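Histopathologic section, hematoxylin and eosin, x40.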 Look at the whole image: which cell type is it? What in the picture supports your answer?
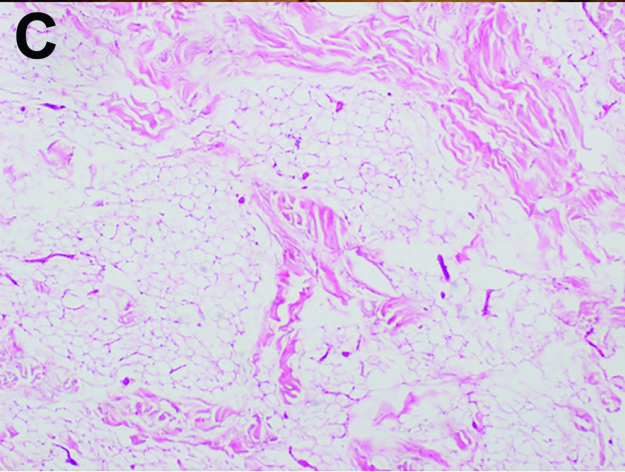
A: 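Mature, uniform adipocytes. Many empty, rounded-polygonal spaces of similar size bounded by thin pale membranes.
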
